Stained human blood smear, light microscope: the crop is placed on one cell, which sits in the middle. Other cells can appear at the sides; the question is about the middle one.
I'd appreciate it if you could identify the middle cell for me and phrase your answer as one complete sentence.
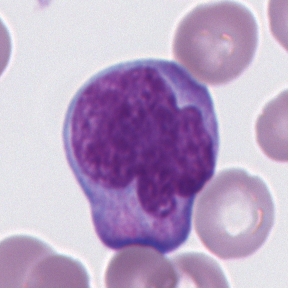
Seen at the centre of the crop is an atypical promyelocyte.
